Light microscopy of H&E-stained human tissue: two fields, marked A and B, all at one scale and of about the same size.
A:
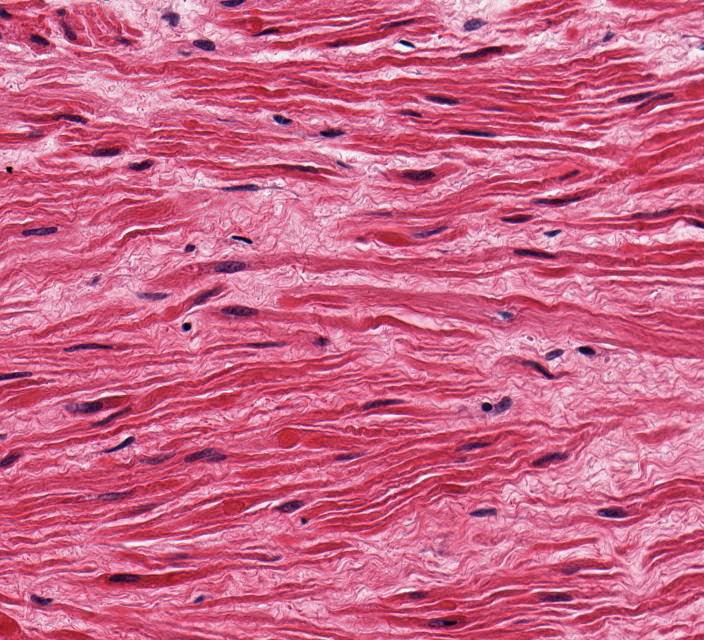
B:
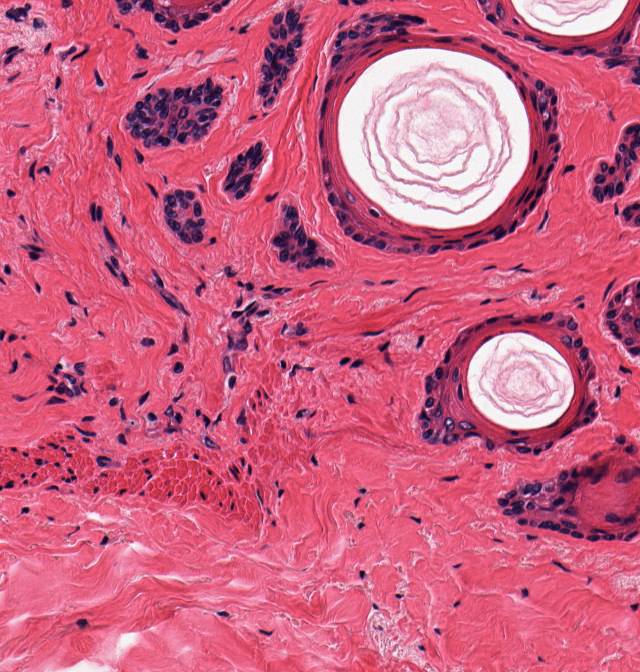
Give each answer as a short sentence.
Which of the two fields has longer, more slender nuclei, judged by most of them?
The nuclei are more elongated in field A.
